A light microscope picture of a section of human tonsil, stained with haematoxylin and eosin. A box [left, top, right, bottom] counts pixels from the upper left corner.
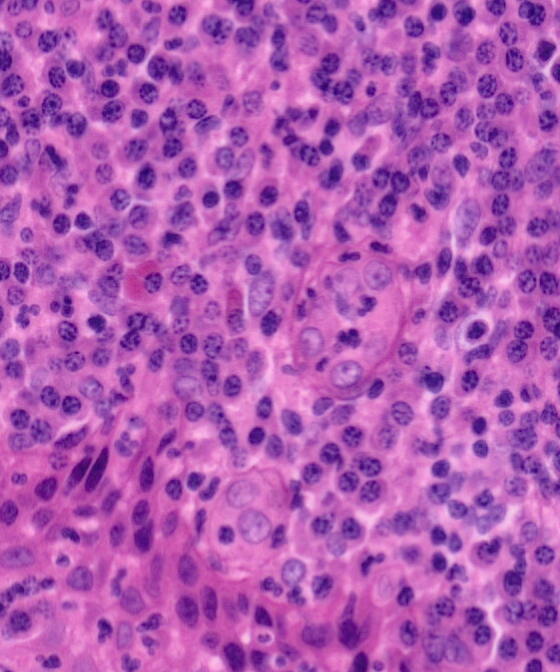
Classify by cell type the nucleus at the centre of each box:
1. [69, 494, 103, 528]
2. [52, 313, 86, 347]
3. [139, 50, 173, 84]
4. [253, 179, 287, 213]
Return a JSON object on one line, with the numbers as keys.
{"1": "squamous epithelial cell", "2": "plasma cell", "3": "plasma cell", "4": "plasma cell"}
